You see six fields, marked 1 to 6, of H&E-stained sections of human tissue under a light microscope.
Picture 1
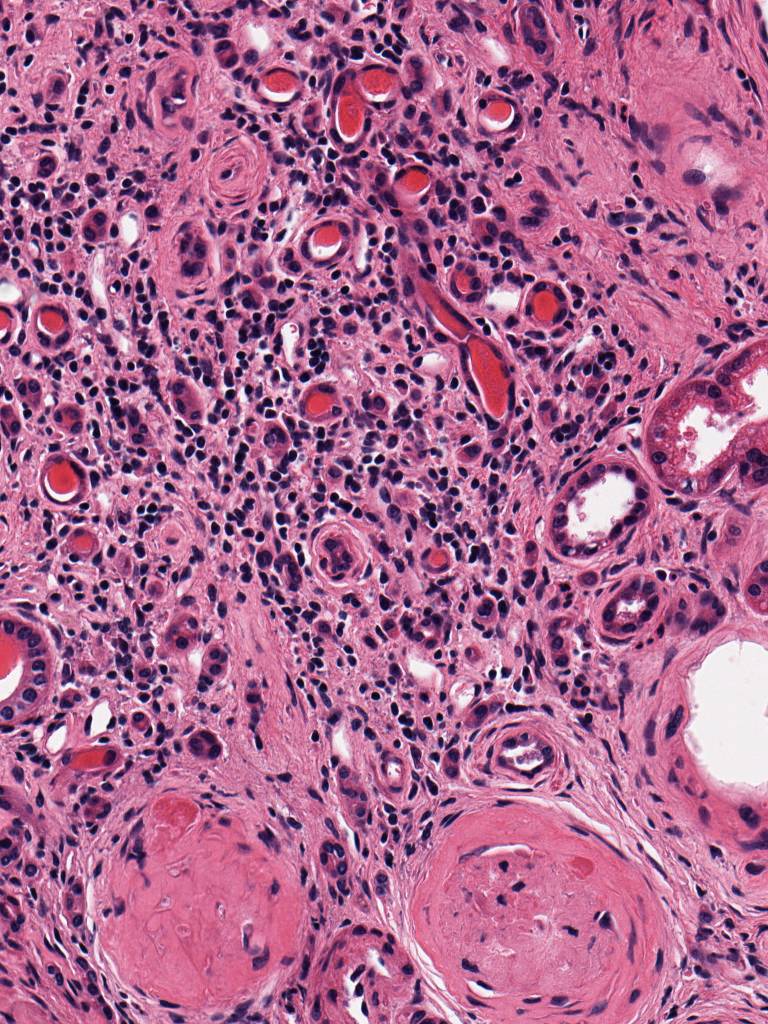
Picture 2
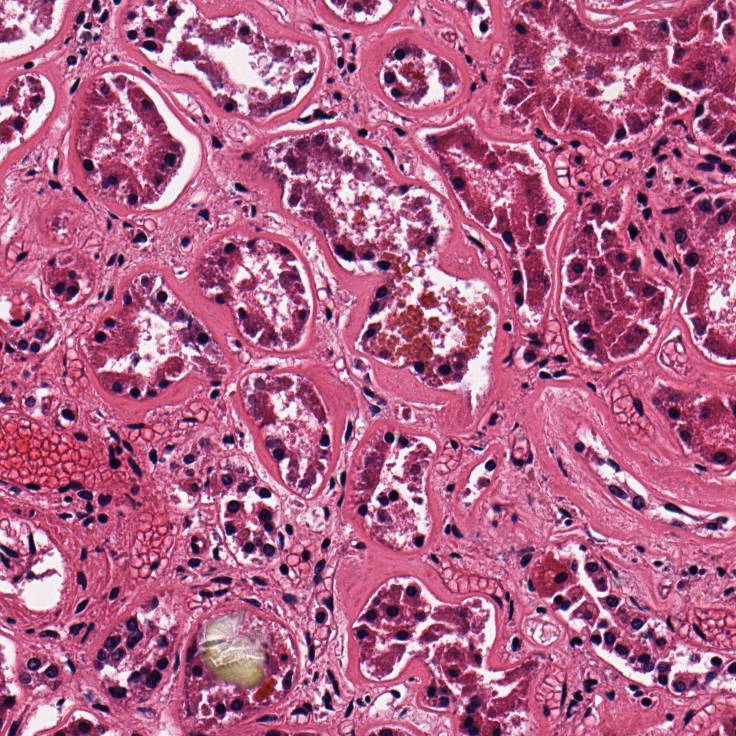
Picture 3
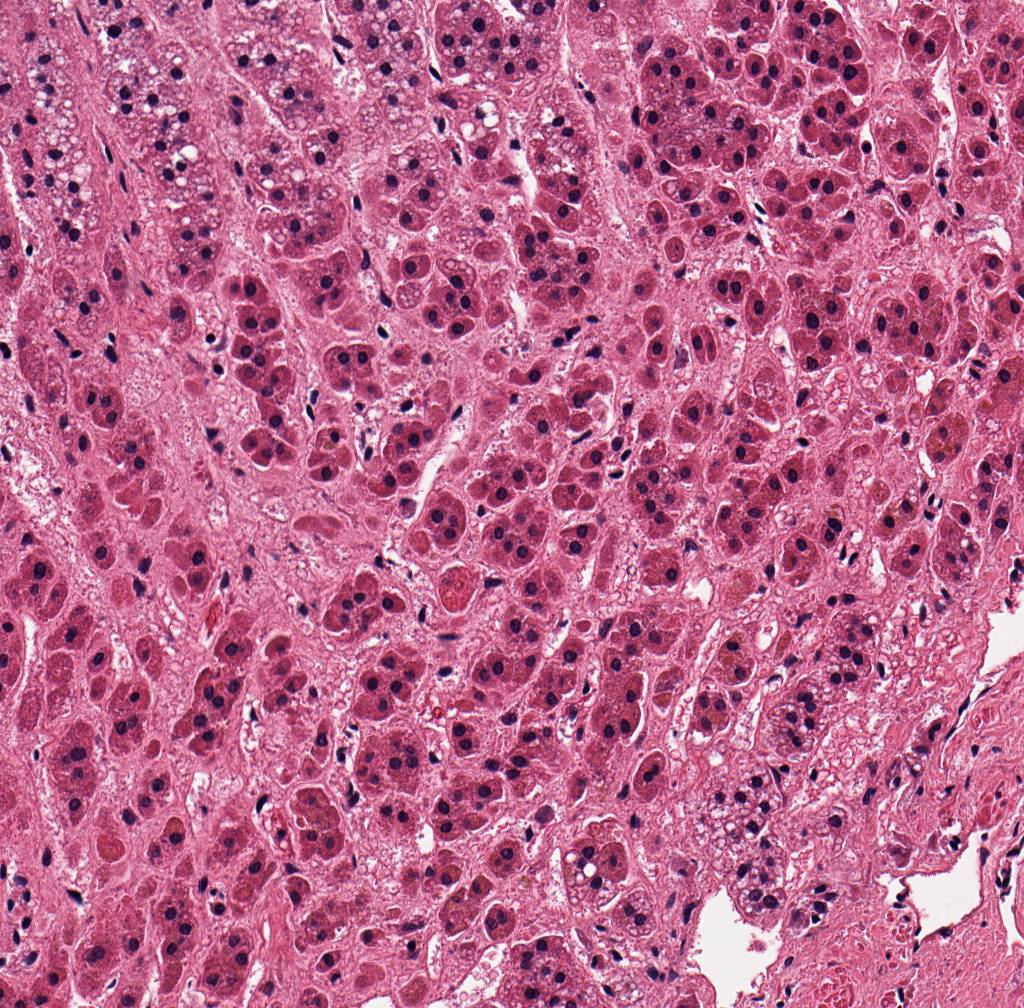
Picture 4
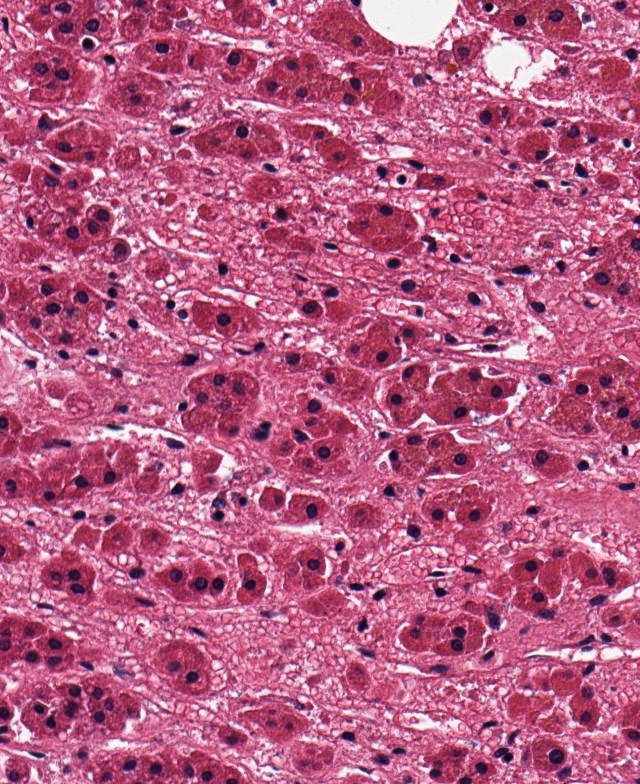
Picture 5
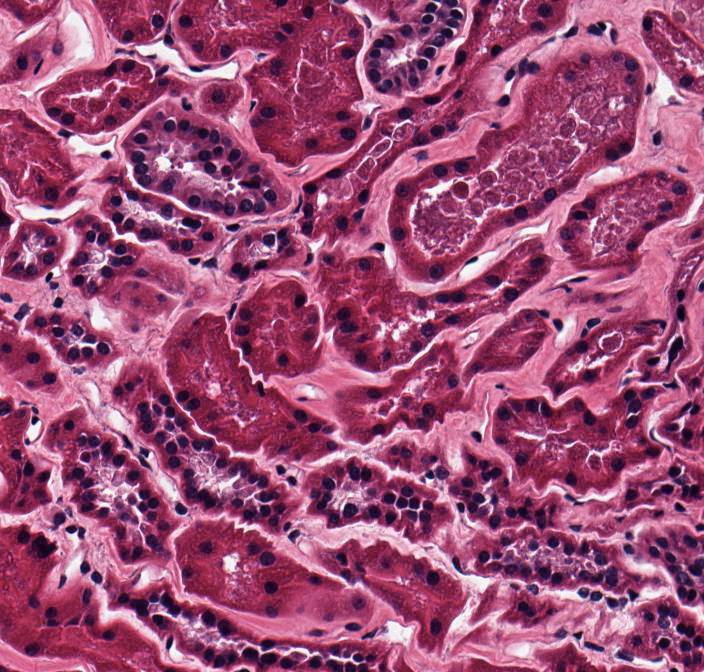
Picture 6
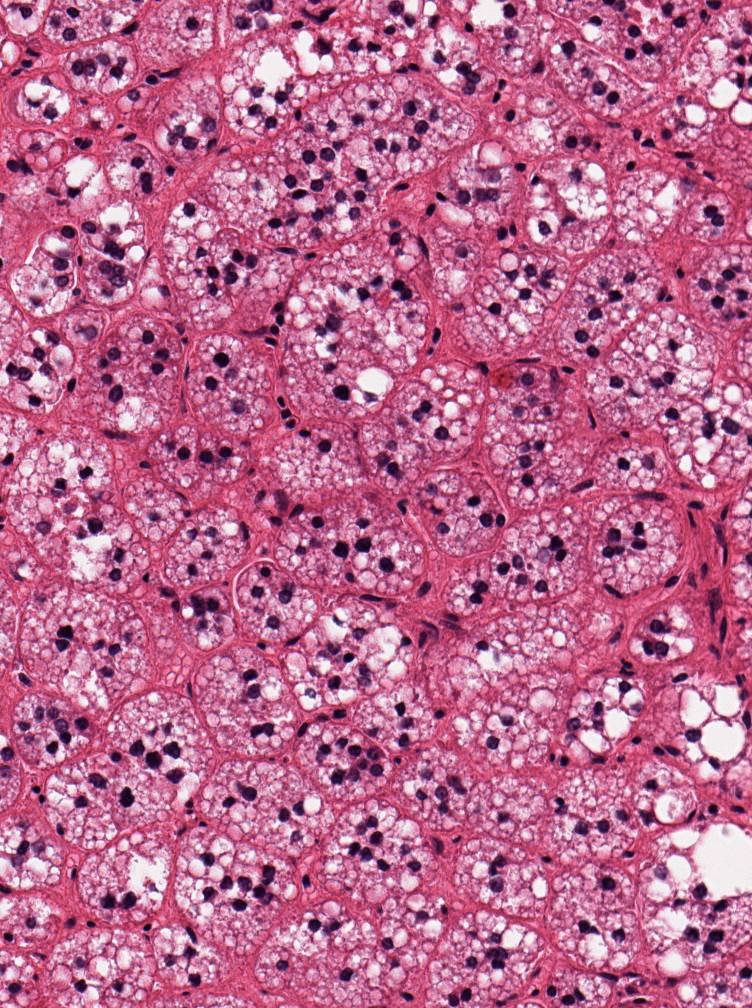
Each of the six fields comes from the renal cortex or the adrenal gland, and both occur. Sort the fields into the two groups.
1: renal cortex
2: renal cortex
3: adrenal gland
4: adrenal gland
5: renal cortex
6: adrenal gland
